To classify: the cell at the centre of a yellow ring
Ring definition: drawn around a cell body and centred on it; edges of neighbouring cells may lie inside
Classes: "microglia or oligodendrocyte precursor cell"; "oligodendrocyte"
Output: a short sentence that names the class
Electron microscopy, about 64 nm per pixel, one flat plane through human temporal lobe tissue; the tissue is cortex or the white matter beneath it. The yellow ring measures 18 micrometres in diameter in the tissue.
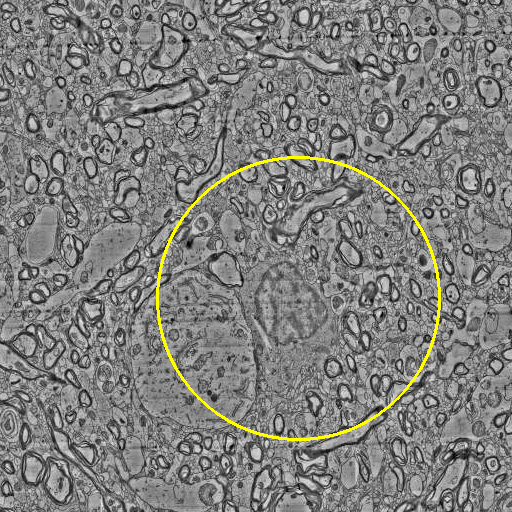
The ringed cell is an oligodendrocyte.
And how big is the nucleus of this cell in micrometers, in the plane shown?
In this plane the ringed cell's nucleus is roughly 5 micrometres across.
